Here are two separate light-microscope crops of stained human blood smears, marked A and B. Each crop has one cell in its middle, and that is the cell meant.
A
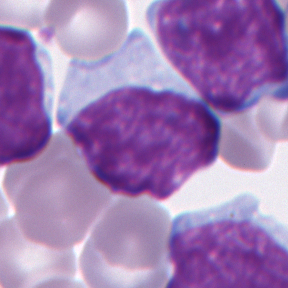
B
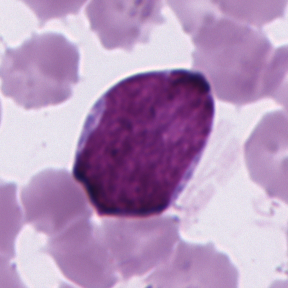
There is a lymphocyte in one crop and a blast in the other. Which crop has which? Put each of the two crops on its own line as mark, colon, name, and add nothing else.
A: lymphocyte
B: blast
